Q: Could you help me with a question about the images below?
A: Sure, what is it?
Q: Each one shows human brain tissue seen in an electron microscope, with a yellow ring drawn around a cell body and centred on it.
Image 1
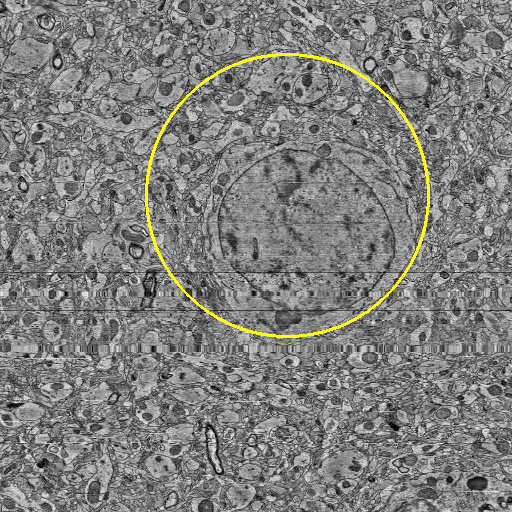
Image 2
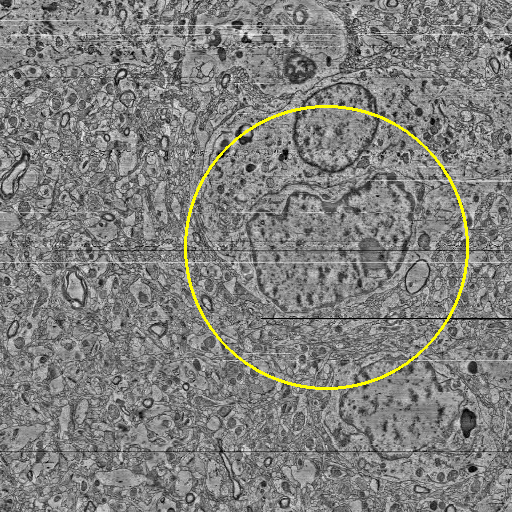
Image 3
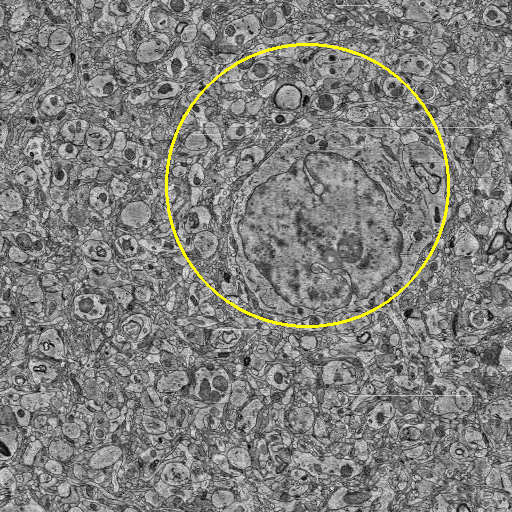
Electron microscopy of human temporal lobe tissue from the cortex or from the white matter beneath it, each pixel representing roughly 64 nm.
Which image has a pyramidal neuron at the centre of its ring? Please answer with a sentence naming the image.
Image 1 has it at the centre of its ring.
